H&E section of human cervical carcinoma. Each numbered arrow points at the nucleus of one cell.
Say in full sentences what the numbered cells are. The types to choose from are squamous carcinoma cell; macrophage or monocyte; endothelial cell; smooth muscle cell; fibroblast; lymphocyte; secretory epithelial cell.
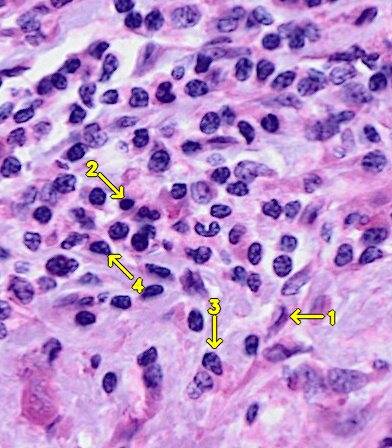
Cell 1 is a macrophage or monocyte, cell 2 is a lymphocyte, cell 3 is a lymphocyte and cell 4 is a lymphocyte.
